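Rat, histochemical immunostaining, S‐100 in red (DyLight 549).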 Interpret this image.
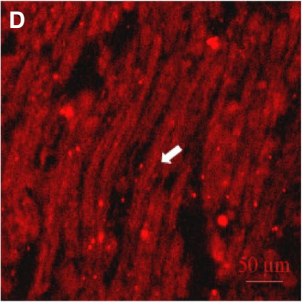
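Red fluorescence outlines many long, narrow bands that run in parallel diagonally across the field, separated by thin dark clefts. Scattered brighter red round dots and a few larger dark gaps interrupt the bands.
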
